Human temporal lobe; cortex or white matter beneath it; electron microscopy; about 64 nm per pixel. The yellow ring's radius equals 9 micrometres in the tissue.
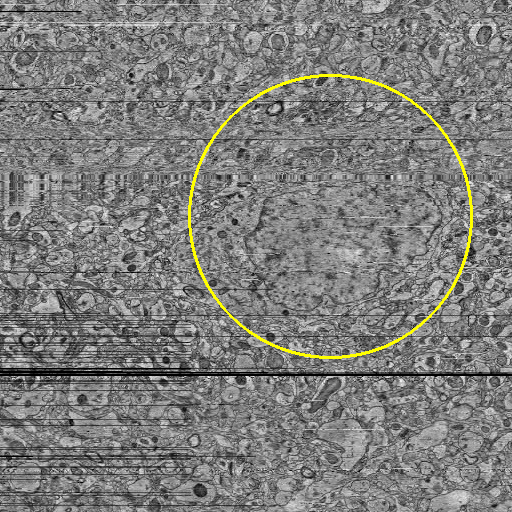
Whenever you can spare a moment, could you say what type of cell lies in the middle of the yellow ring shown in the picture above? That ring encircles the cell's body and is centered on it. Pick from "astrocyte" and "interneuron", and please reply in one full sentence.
The cell whose body sits at the middle of the yellow ring is an interneuron.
